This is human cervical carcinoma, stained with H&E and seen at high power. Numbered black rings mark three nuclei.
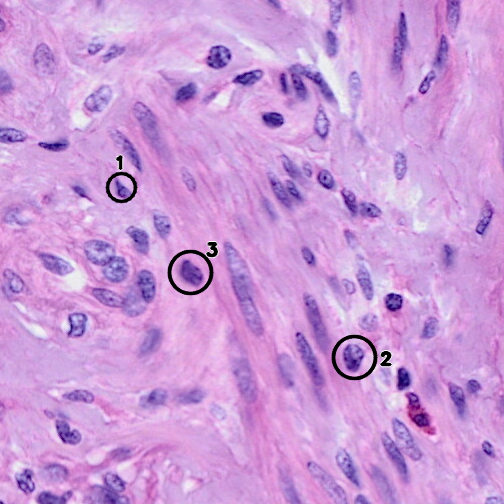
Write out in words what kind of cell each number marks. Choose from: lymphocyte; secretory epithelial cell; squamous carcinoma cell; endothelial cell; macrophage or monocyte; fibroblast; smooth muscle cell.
Cell 1 is a fibroblast, cell 2 is a lymphocyte and cell 3 is a lymphocyte.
